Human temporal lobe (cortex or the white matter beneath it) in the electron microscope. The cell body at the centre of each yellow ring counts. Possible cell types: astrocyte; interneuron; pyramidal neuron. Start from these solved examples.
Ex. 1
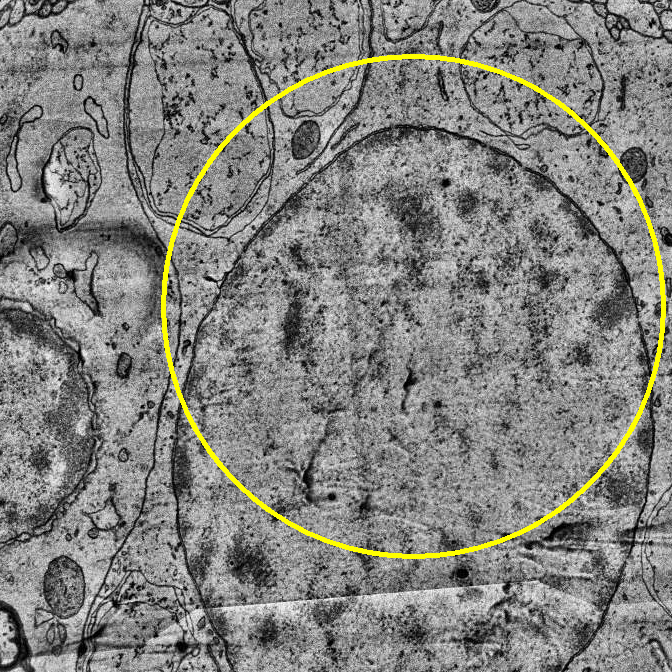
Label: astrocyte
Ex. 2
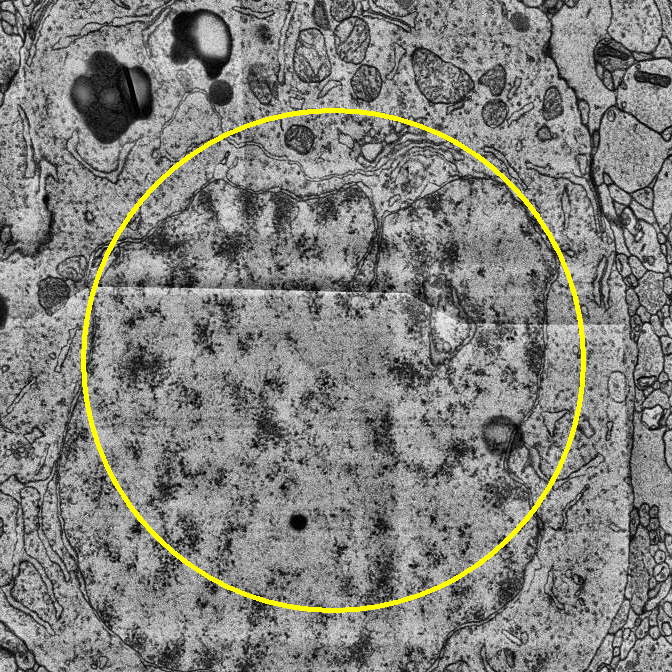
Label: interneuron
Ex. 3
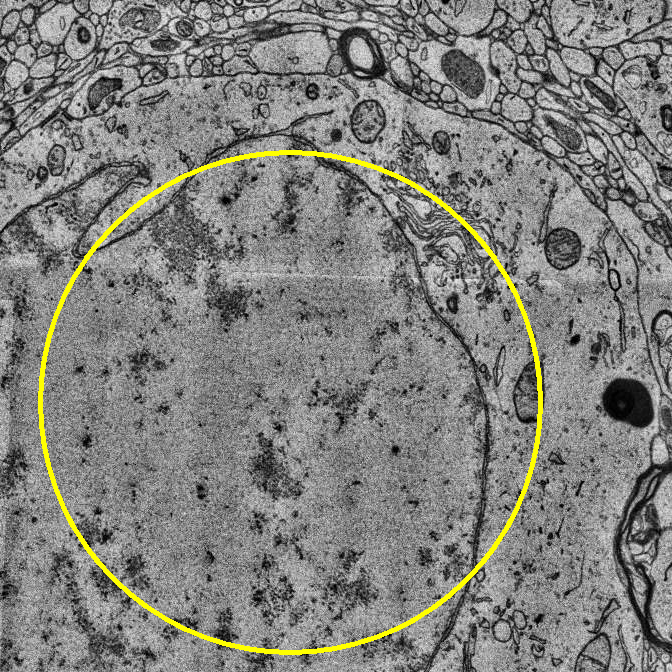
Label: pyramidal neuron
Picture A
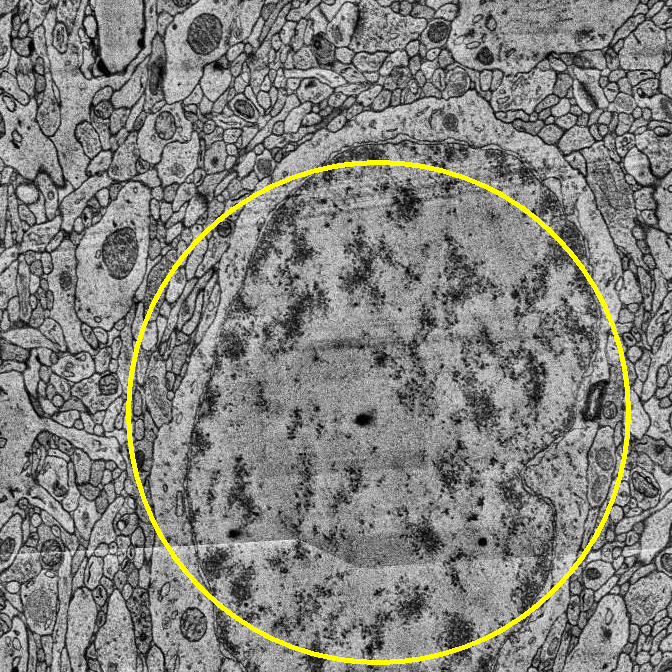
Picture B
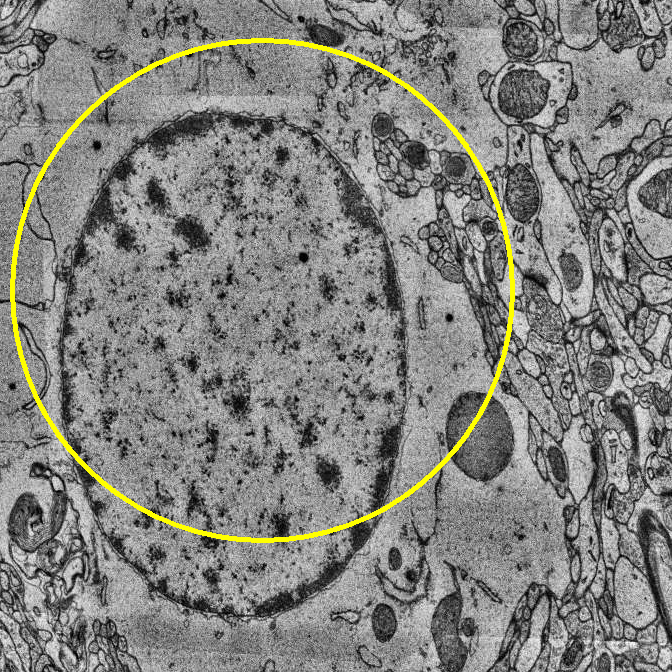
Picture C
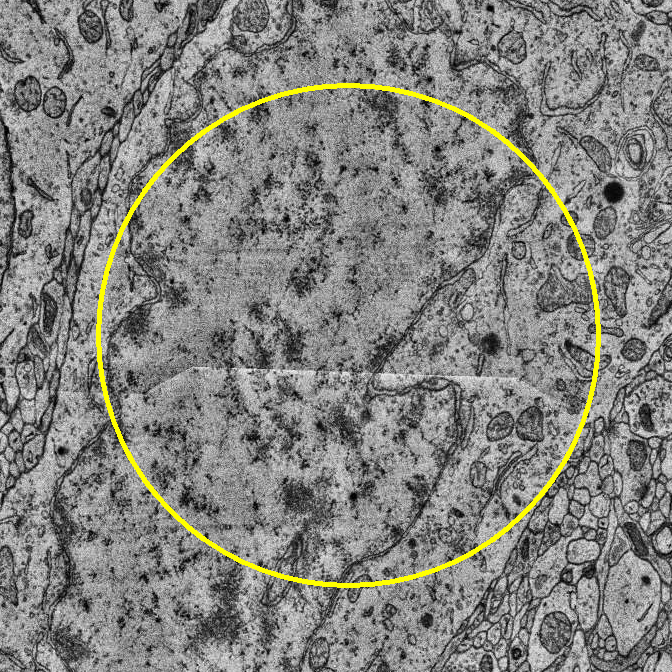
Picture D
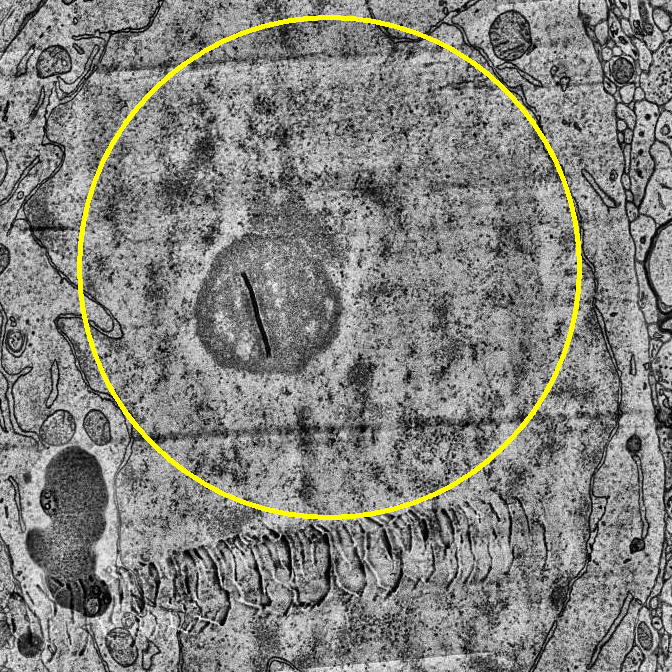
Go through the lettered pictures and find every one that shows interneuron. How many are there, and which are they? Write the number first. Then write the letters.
3: A, C, D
